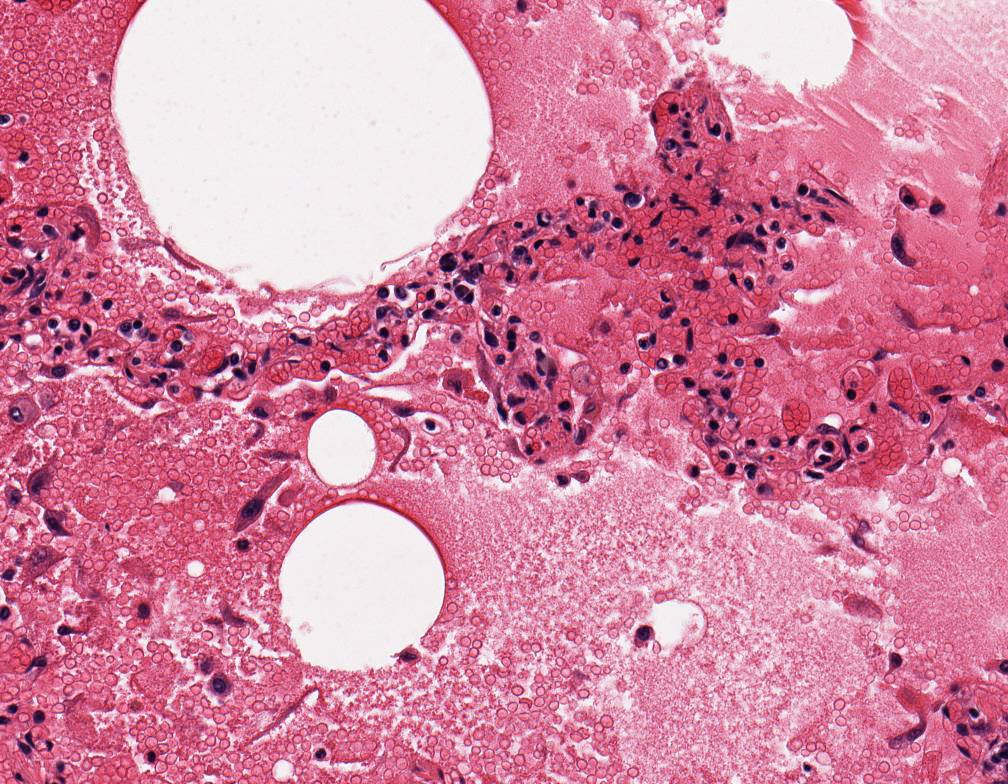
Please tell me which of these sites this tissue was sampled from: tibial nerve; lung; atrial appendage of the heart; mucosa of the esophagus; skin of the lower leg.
lung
